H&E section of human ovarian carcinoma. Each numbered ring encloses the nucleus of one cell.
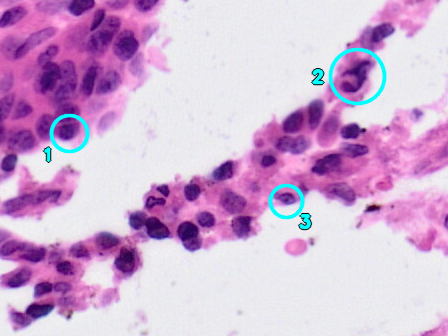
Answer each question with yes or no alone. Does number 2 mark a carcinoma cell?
no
